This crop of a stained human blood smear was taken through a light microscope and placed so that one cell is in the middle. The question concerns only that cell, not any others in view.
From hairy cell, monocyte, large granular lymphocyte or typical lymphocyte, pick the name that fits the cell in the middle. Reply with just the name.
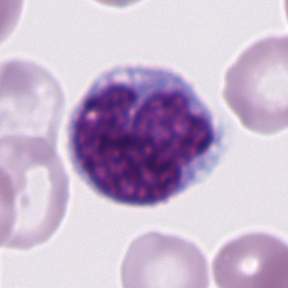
monocyte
